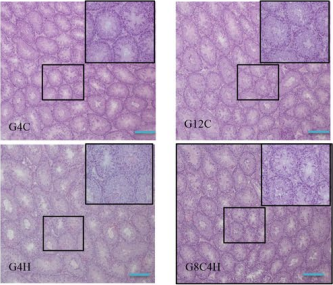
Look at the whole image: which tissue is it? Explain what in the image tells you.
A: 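Closely packed round tubule profiles in cross-section fill each field. Each tubule has a thick wall of layered purple-stained cells around a central lumen. Narrow strips of tissue lie between neighbouring tubules.
Hence: testis.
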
